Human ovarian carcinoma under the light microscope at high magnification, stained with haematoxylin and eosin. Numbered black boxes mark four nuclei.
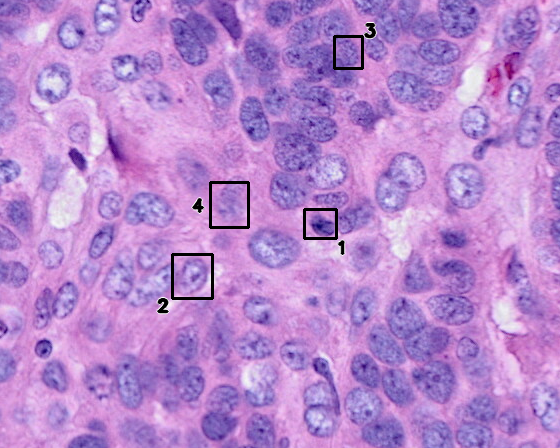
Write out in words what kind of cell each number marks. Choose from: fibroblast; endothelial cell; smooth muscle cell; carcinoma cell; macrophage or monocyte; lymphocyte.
Cell 1 is a lymphocyte, cell 2 is a fibroblast, cell 3 is a carcinoma cell and cell 4 is a fibroblast.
